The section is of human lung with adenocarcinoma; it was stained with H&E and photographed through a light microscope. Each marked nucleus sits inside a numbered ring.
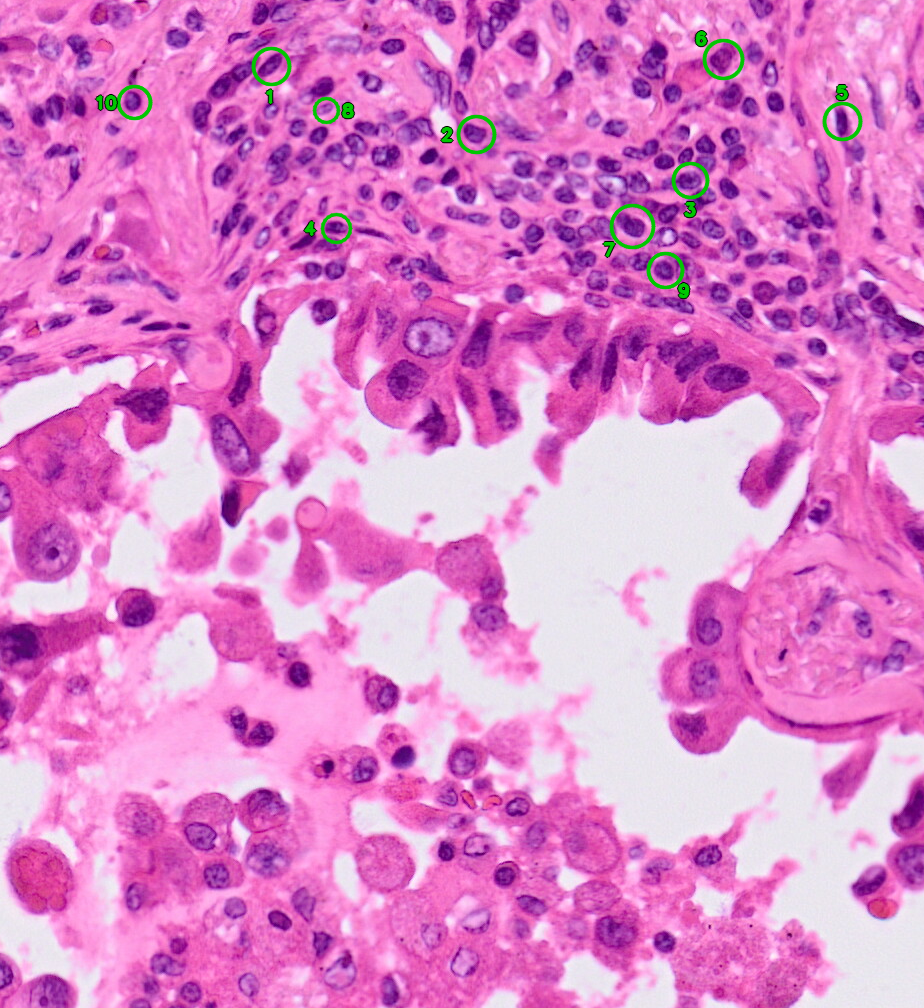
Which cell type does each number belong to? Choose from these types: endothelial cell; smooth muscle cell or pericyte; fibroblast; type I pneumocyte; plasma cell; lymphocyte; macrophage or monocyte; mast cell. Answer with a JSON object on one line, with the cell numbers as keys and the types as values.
{"1": "plasma cell", "2": "lymphocyte", "3": "lymphocyte", "4": "lymphocyte", "5": "plasma cell", "6": "plasma cell", "7": "lymphocyte", "8": "lymphocyte", "9": "lymphocyte", "10": "mast cell"}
